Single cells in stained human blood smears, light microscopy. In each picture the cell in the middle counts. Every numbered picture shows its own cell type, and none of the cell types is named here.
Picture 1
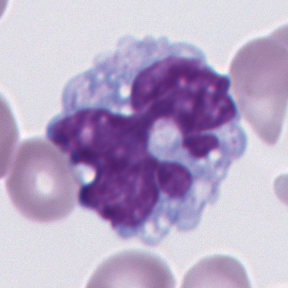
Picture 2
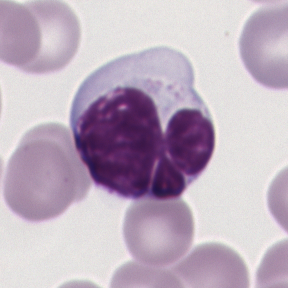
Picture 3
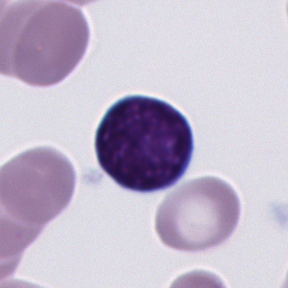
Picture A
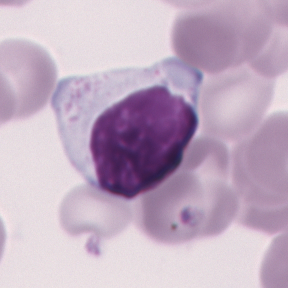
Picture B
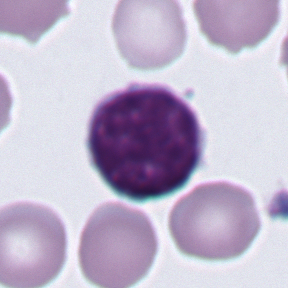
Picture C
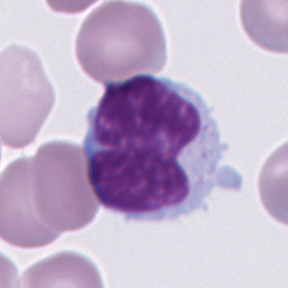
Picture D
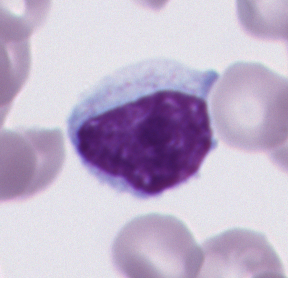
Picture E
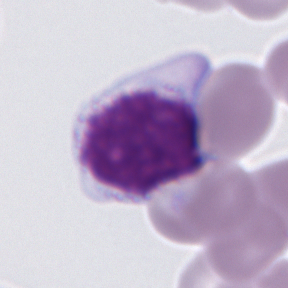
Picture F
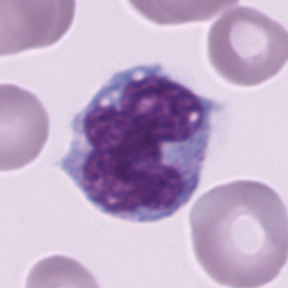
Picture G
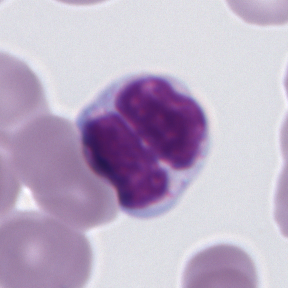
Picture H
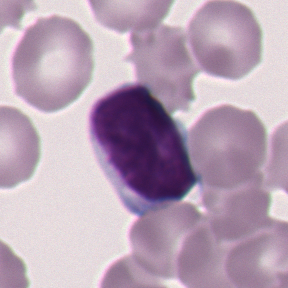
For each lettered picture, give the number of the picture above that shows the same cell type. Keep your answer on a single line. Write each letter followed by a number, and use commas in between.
A 2, B 3, C 2, D 3, E 2, F 1, G 2, H 3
